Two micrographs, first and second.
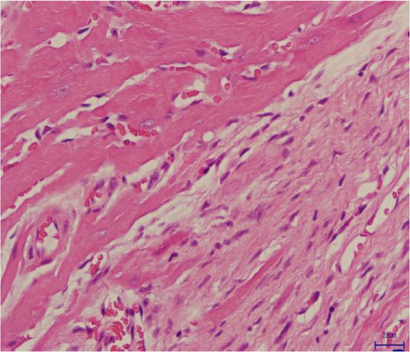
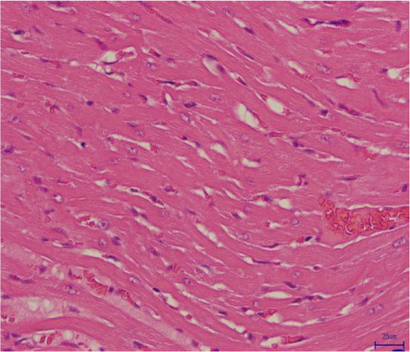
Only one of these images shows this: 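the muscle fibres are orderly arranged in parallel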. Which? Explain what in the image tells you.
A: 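First image: fibres are separated by a broad pale band with many scattered dark nuclei, breaking the parallel pattern. Second image: tightly packed pink fibres run in parallel across the whole field. So: the second image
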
